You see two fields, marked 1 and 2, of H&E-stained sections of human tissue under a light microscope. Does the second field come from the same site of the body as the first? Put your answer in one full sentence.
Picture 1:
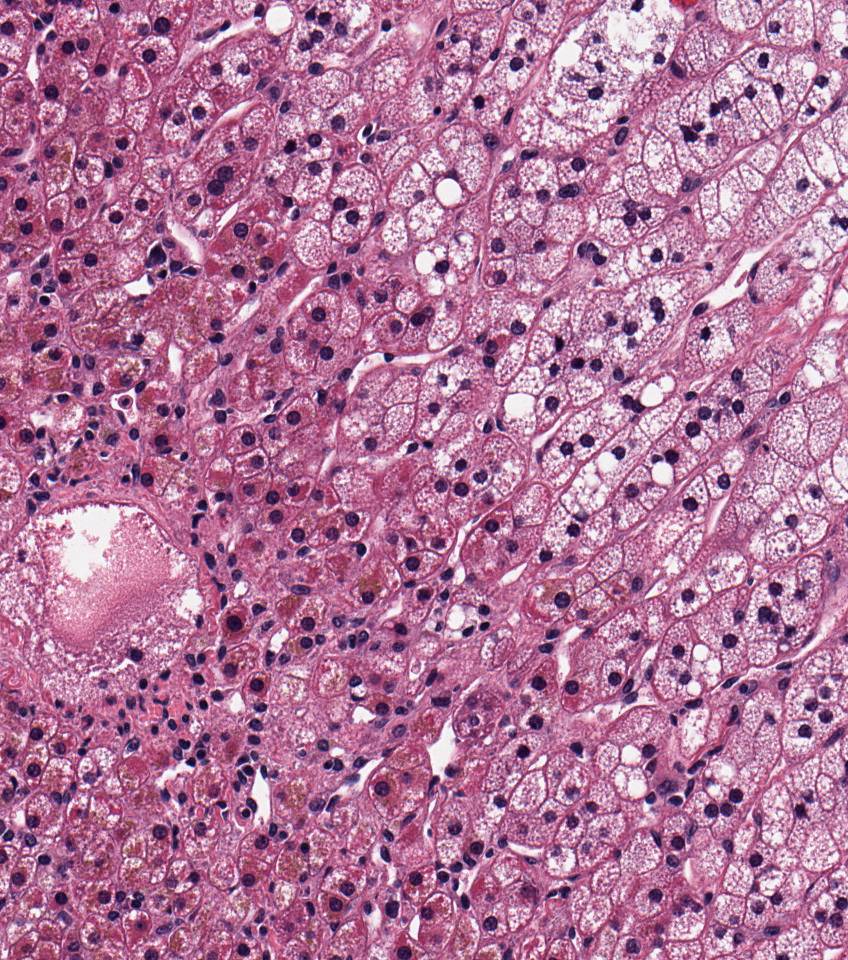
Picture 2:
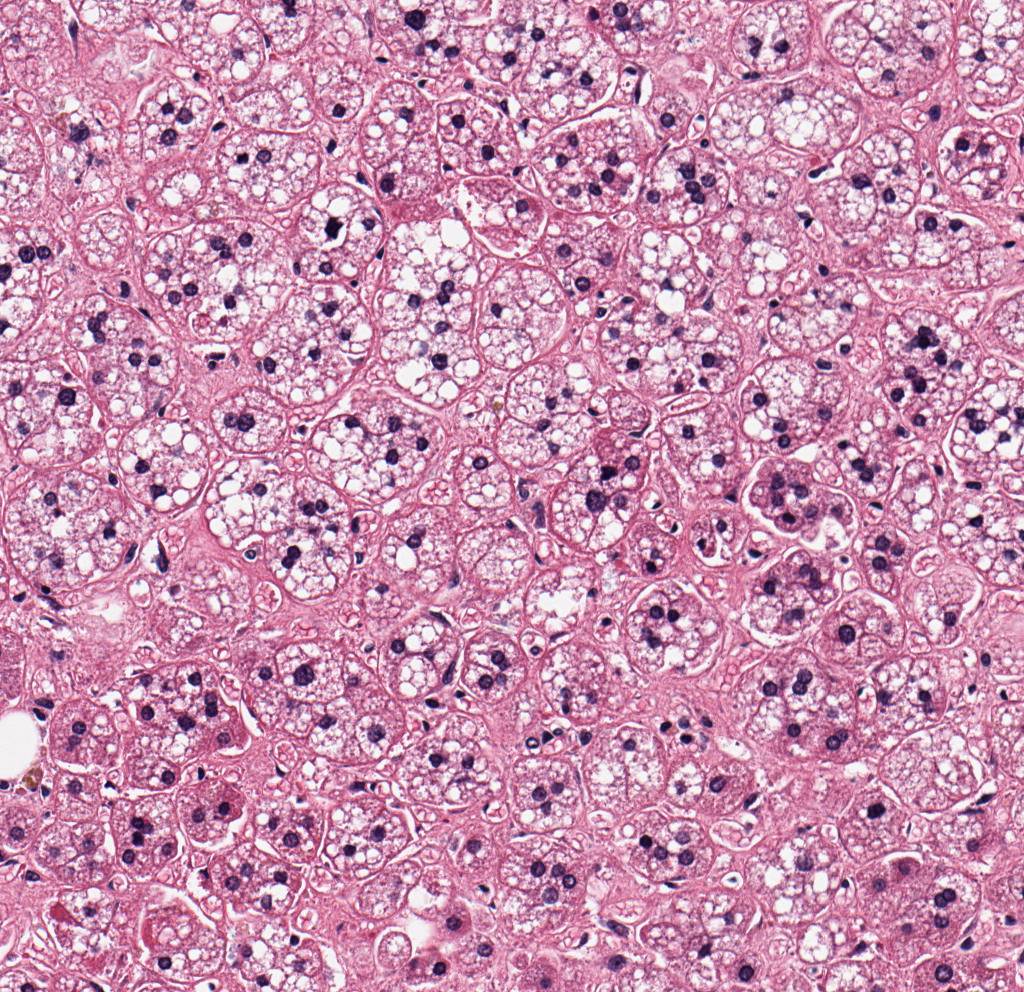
Yes, they come from the same site of the body: both come from the adrenal gland.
